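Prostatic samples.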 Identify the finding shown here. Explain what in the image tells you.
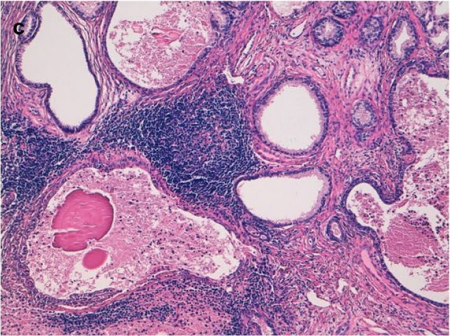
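A large dense aggregate of small dark-blue round nuclei lies between glands. The dense cell aggregate abuts and wraps around gland outlines. Dilated glands contain pink material and loose cells in their lumens. That points to this answer: Confluent sheets of inflammatory cells with follicle formation.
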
